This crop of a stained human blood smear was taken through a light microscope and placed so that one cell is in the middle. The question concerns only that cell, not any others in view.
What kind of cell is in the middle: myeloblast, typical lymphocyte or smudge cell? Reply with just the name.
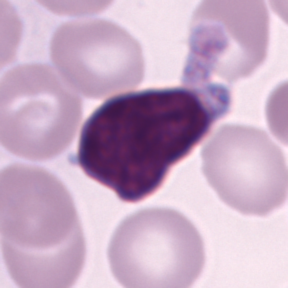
typical lymphocyte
